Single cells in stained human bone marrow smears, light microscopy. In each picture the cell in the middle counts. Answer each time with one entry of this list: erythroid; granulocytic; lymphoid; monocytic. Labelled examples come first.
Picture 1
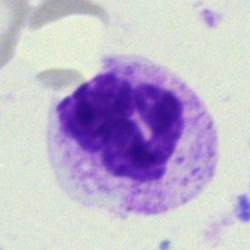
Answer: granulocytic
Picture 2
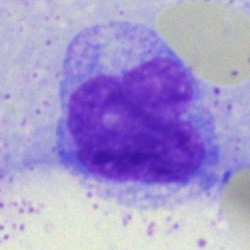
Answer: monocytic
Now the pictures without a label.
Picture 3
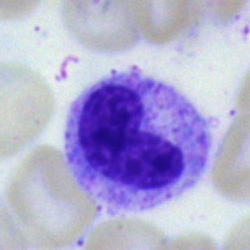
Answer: granulocytic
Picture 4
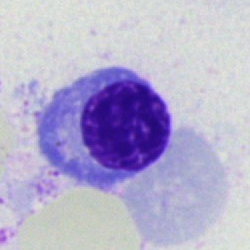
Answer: erythroid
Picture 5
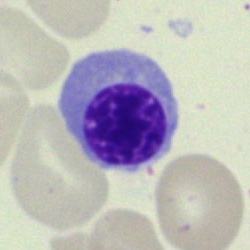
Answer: erythroid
